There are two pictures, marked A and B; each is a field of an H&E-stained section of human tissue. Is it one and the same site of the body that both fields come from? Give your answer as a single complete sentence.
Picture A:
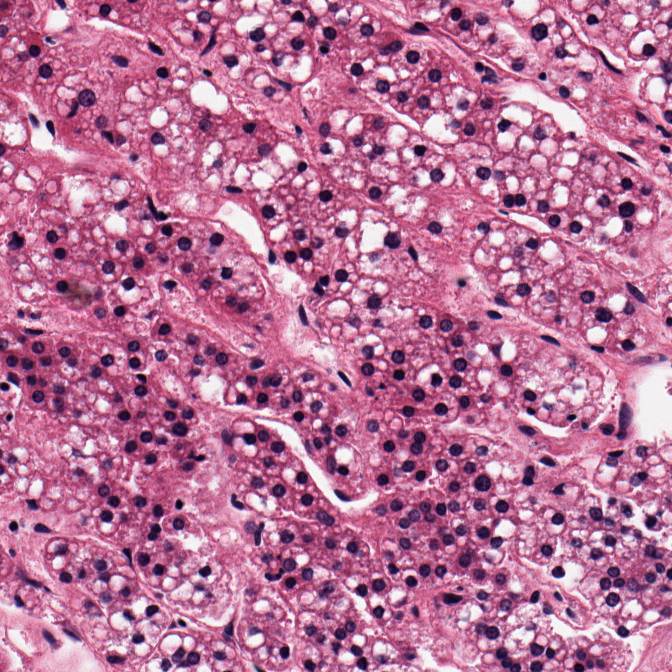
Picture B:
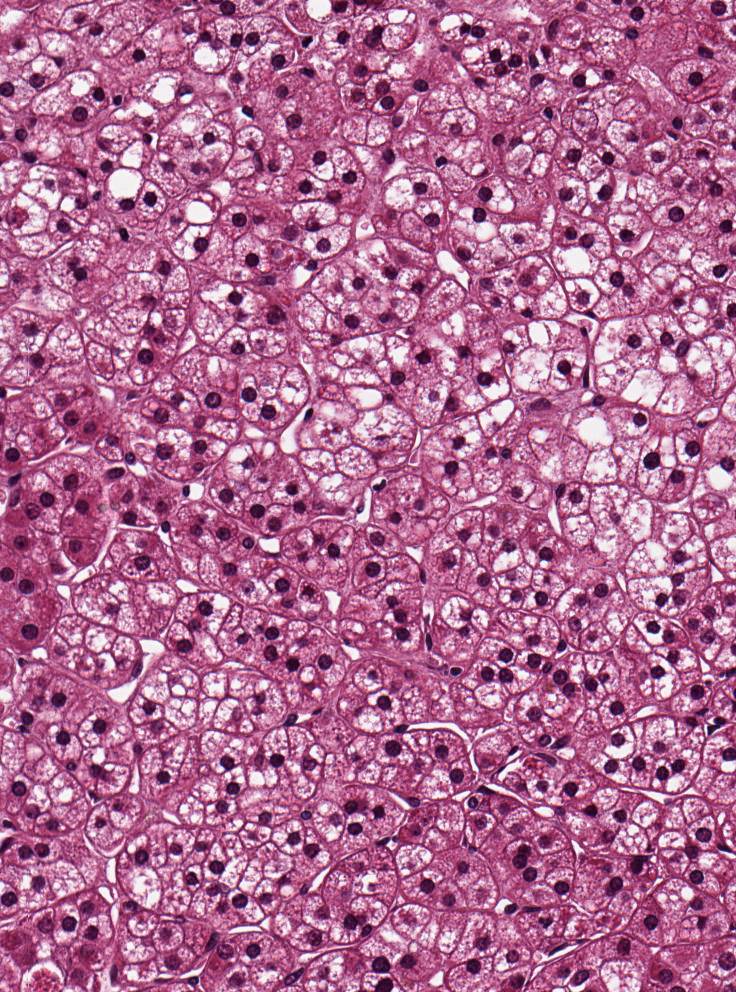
Yes, both come from the adrenal gland.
